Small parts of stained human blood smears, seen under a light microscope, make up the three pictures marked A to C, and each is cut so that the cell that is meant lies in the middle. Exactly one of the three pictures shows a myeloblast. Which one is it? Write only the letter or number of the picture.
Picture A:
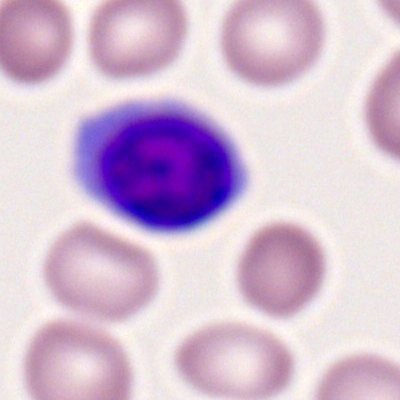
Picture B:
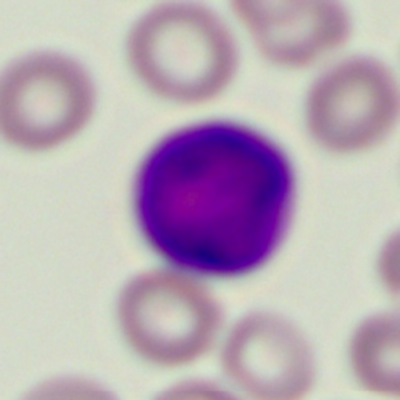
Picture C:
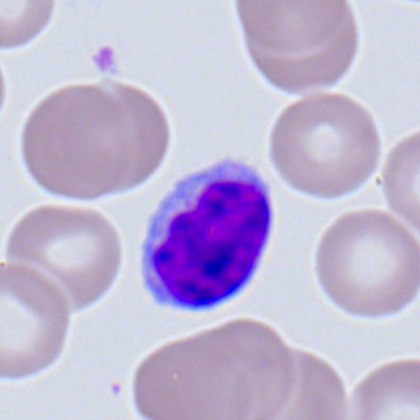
B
